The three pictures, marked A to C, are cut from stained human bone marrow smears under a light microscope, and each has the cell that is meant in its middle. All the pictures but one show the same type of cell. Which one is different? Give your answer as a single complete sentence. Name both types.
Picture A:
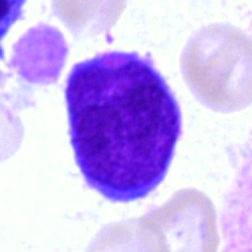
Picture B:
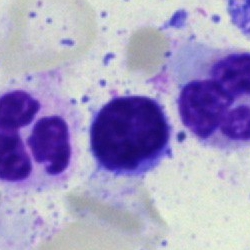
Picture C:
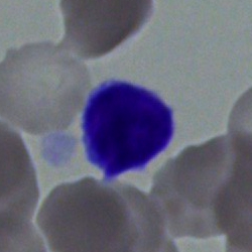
Picture A is the odd one out: it shows a blast, while the others show lymphocytes.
